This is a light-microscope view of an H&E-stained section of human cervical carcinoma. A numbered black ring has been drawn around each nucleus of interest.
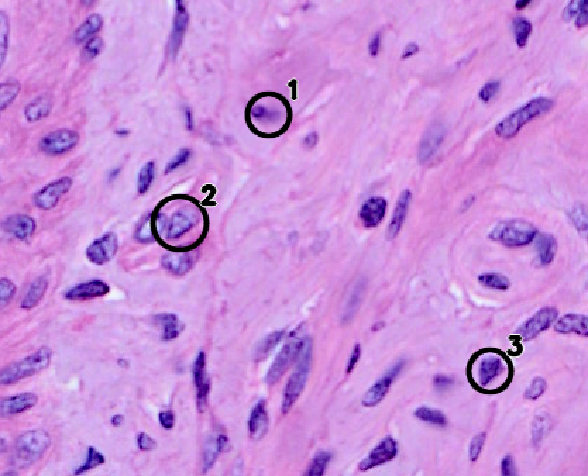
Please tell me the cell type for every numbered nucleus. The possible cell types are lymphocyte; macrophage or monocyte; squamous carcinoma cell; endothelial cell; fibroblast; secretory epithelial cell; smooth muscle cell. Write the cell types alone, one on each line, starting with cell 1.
fibroblast
endothelial cell
fibroblast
